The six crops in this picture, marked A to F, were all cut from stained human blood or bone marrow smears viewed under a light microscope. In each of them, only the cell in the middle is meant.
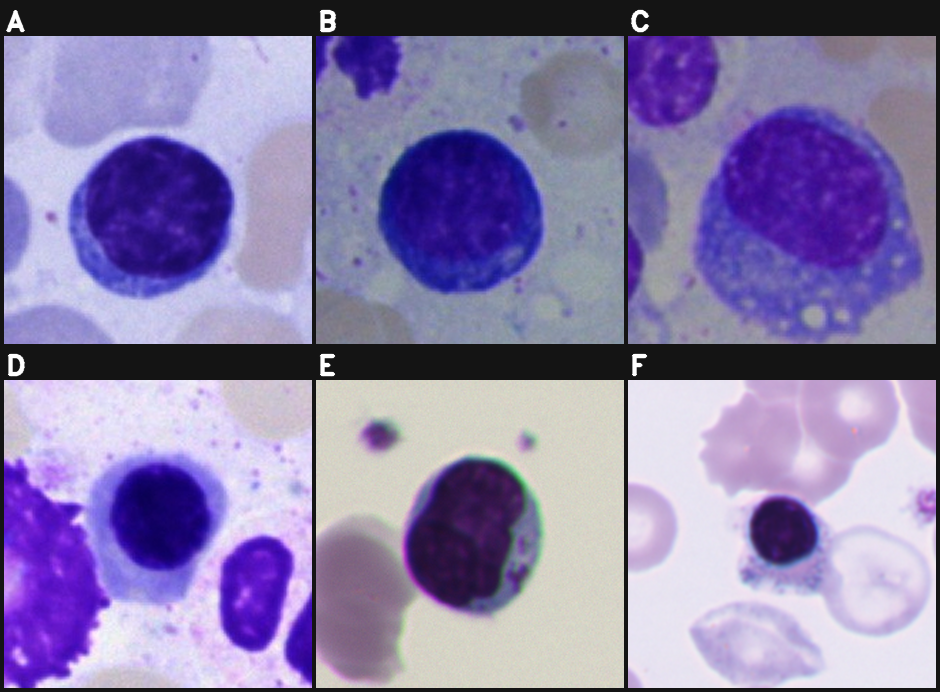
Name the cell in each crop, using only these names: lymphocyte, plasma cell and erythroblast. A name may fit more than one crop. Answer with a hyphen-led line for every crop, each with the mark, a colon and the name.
- A: lymphocyte
- B: lymphocyte
- C: plasma cell
- D: erythroblast
- E: lymphocyte
- F: erythroblast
